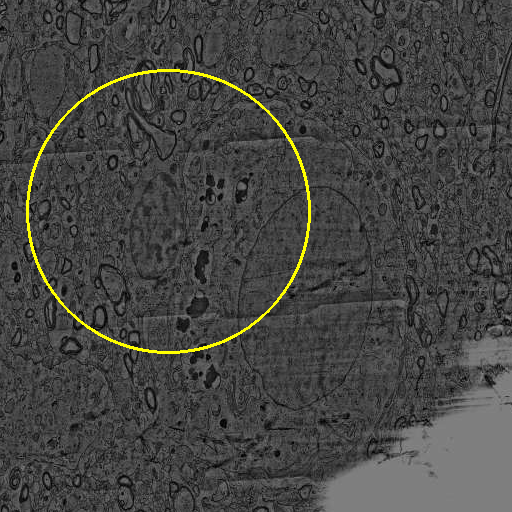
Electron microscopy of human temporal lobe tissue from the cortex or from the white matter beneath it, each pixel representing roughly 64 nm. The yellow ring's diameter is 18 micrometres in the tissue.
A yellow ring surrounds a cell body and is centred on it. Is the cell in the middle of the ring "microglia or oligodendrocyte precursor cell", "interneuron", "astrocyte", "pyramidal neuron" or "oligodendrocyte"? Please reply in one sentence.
The ring is centred on an oligodendrocyte.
